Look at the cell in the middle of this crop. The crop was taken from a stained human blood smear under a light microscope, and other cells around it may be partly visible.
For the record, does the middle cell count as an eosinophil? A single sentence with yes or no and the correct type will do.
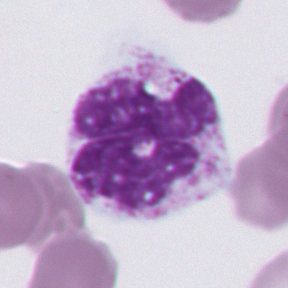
No, the middle cell is classified as a neutrophil instead of an eosinophil.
